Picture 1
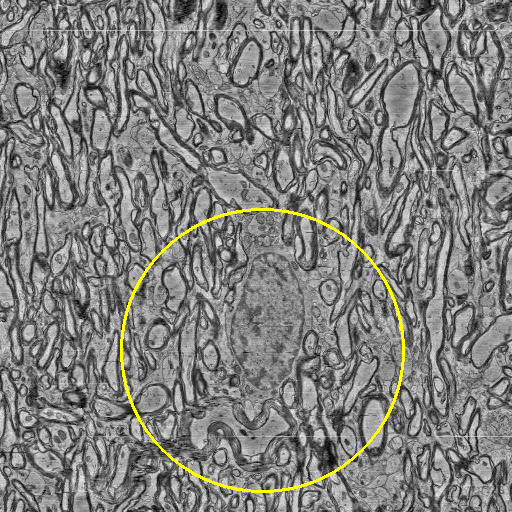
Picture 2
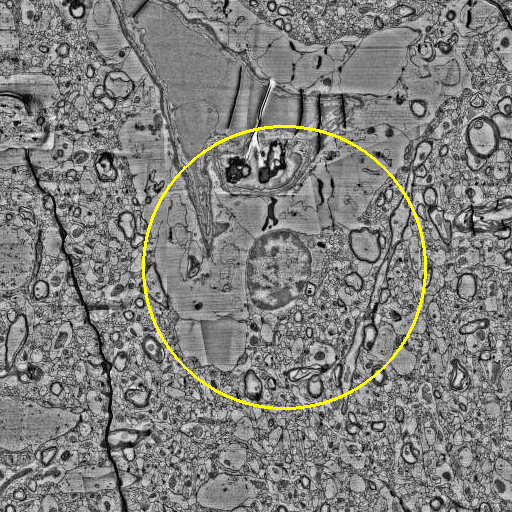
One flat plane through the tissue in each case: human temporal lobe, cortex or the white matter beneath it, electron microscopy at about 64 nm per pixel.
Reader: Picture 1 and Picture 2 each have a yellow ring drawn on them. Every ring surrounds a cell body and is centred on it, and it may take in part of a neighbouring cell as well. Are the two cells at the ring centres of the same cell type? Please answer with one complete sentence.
Yes, both cells are of the same cell type.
